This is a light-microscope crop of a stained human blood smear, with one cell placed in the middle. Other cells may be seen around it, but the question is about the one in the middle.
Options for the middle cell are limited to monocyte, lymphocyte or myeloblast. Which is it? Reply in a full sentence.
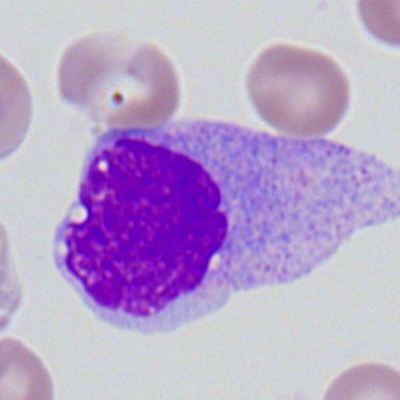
The middle of this crop holds a monocyte.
